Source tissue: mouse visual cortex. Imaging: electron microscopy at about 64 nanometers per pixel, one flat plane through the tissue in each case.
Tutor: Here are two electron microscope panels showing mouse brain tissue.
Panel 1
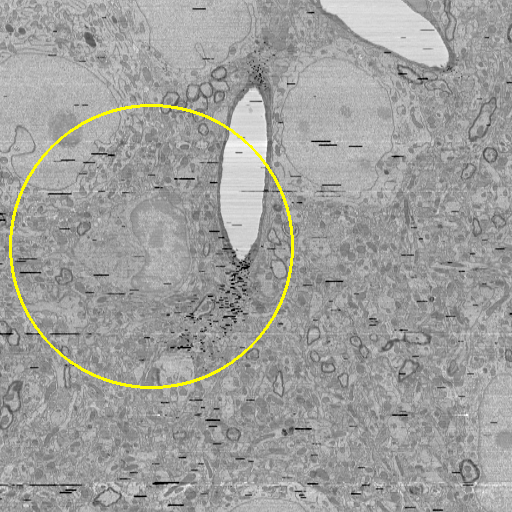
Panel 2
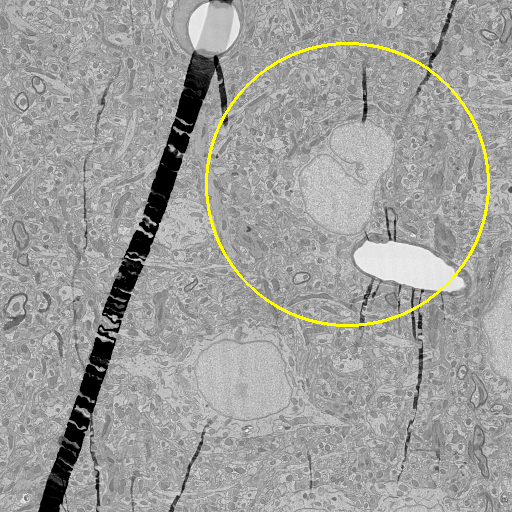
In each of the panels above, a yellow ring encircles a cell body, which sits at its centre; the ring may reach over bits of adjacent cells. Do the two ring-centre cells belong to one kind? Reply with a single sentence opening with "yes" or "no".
No, the two cells sitting at the ring centres in the panels belong to two kinds.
